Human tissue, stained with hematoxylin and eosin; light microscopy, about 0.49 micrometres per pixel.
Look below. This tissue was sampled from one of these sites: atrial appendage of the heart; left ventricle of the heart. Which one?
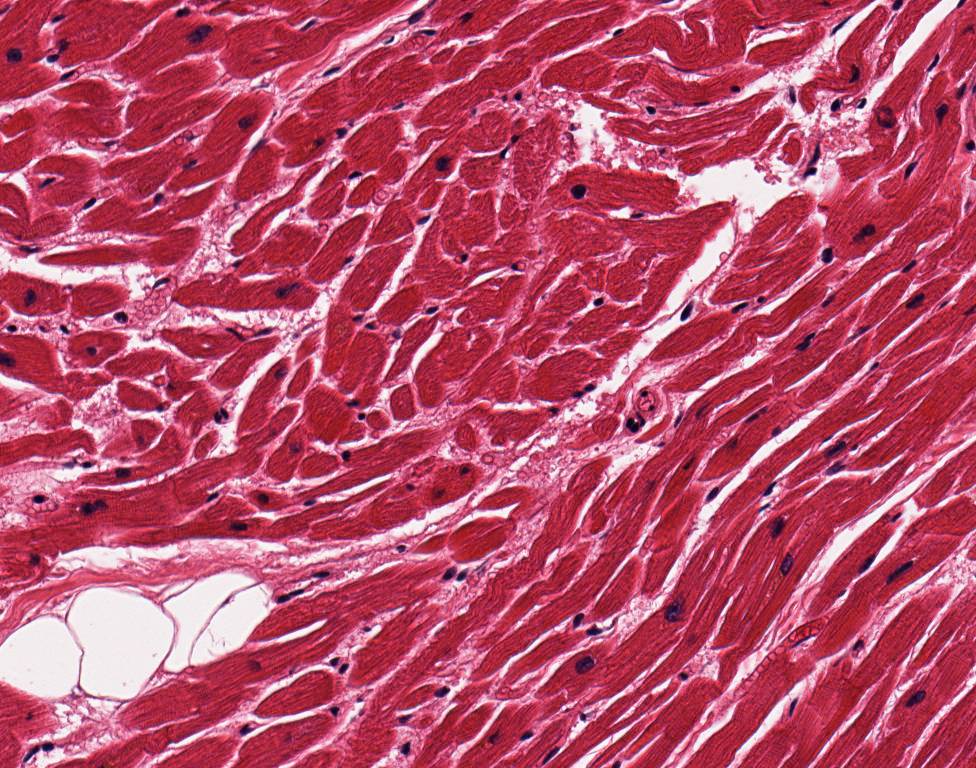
left ventricle of the heart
